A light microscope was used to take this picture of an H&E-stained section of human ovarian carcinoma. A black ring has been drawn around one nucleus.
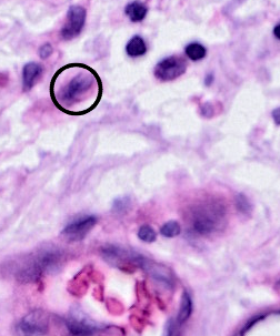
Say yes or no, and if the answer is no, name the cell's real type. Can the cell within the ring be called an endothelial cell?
Yes.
